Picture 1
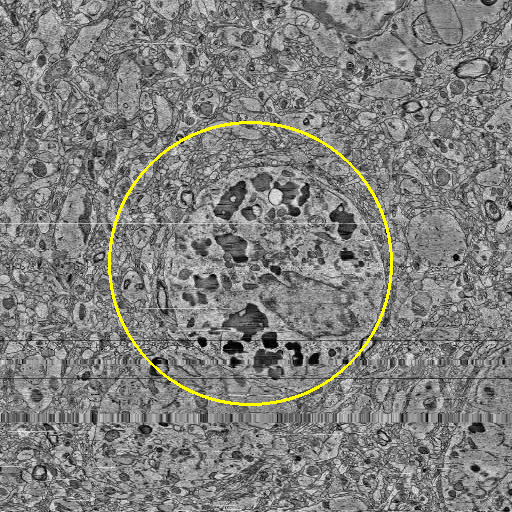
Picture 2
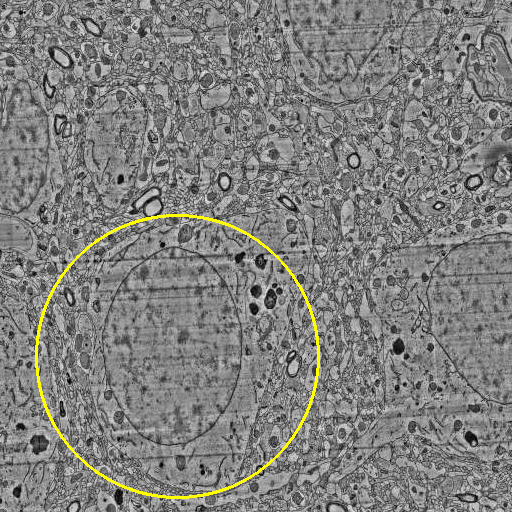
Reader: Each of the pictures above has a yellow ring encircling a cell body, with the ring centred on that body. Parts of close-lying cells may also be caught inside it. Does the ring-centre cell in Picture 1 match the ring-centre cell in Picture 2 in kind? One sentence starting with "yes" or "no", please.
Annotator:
No, Picture 1 and Picture 2 show ring-centre cells of two kinds.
